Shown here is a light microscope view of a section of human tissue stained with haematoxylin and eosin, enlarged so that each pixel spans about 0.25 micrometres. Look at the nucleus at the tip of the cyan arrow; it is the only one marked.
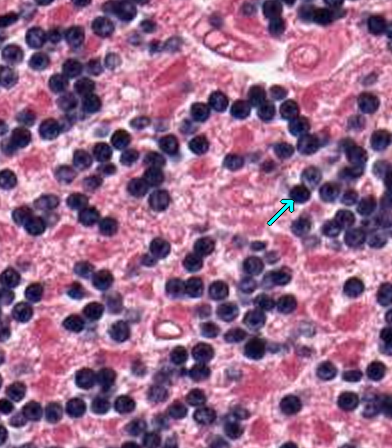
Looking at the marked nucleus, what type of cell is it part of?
cerebellar granule cell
